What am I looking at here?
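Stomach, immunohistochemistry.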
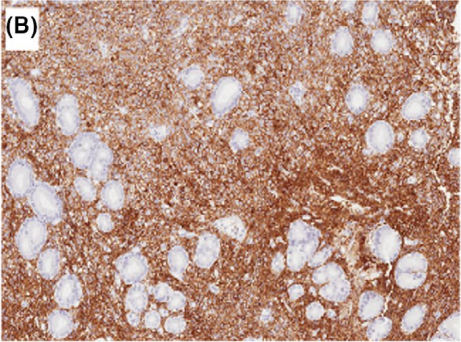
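This is gastric mucosa in which a dense infiltrate of lymphocytes is stained brown throughout. The brown cells form a continuous sheet filling the space between the glands. The remaining glands appear as pale, unstained round and oval outlines scattered through the field, many small and crowded. The appearance is of a diffuse lymphoid infiltrate replacing the mucosa, with only residual glands left.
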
